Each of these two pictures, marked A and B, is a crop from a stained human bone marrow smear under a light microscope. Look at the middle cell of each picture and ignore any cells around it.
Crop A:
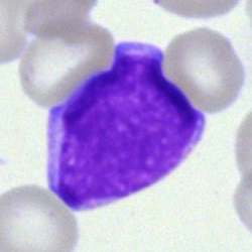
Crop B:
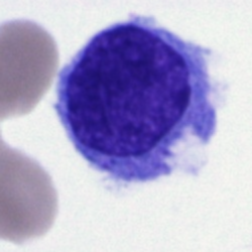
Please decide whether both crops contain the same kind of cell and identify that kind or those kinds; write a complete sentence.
Yes, both crops show blasts in their central position.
